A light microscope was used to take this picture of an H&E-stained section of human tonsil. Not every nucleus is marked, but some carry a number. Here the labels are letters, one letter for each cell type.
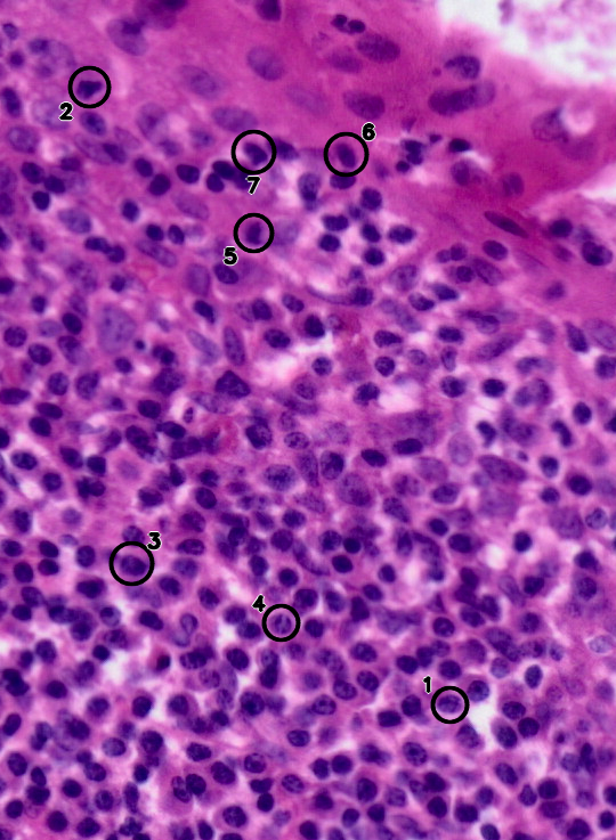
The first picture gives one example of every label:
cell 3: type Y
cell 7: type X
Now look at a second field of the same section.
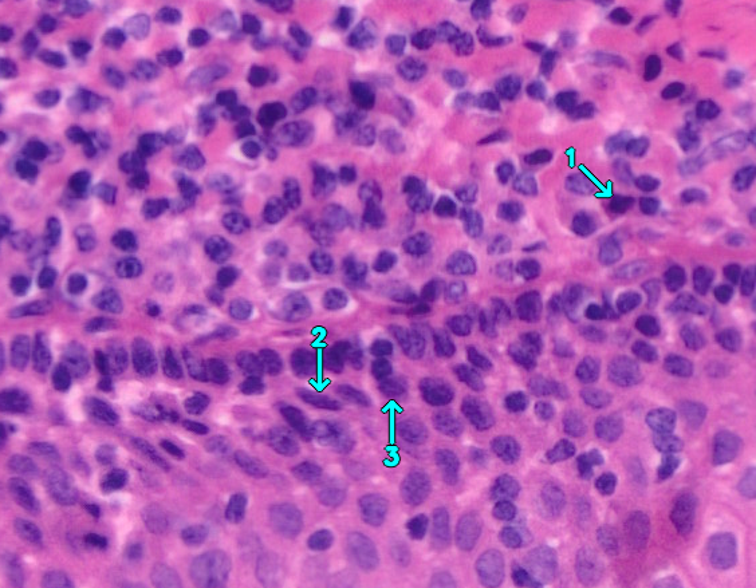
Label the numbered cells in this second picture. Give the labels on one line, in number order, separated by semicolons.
type Y; type X; type X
